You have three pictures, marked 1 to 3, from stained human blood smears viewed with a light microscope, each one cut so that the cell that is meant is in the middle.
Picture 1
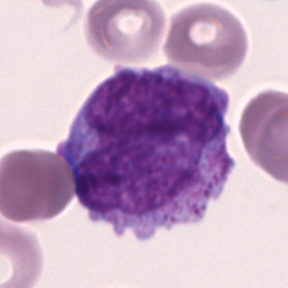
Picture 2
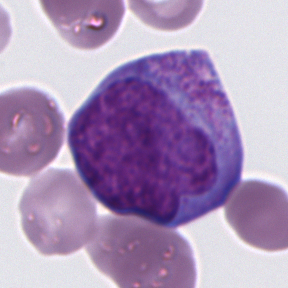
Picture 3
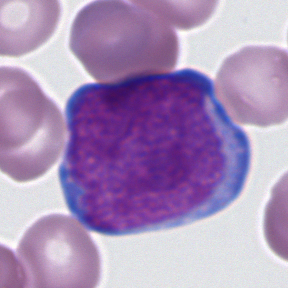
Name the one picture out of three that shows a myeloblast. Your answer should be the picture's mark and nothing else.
3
